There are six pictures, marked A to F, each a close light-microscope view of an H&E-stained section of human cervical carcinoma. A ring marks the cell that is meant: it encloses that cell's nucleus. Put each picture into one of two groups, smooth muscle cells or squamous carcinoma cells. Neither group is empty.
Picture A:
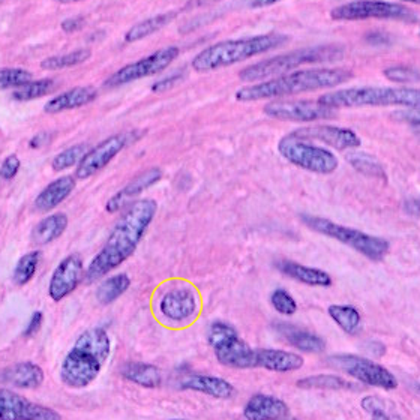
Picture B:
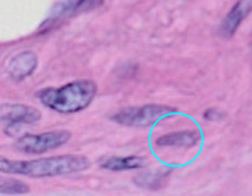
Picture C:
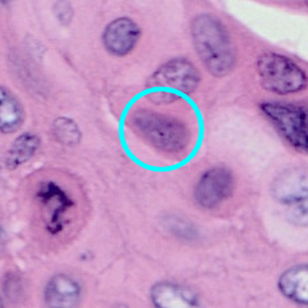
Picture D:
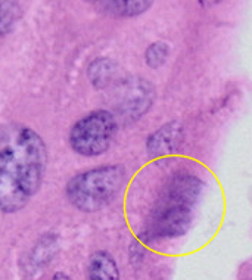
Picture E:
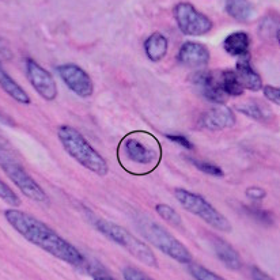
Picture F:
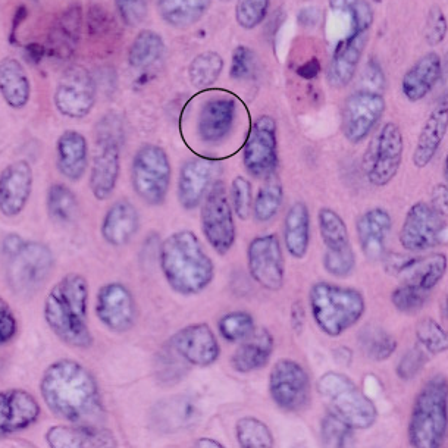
A: smooth muscle cell
B: smooth muscle cell
C: squamous carcinoma cell
D: squamous carcinoma cell
E: smooth muscle cell
F: squamous carcinoma cell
